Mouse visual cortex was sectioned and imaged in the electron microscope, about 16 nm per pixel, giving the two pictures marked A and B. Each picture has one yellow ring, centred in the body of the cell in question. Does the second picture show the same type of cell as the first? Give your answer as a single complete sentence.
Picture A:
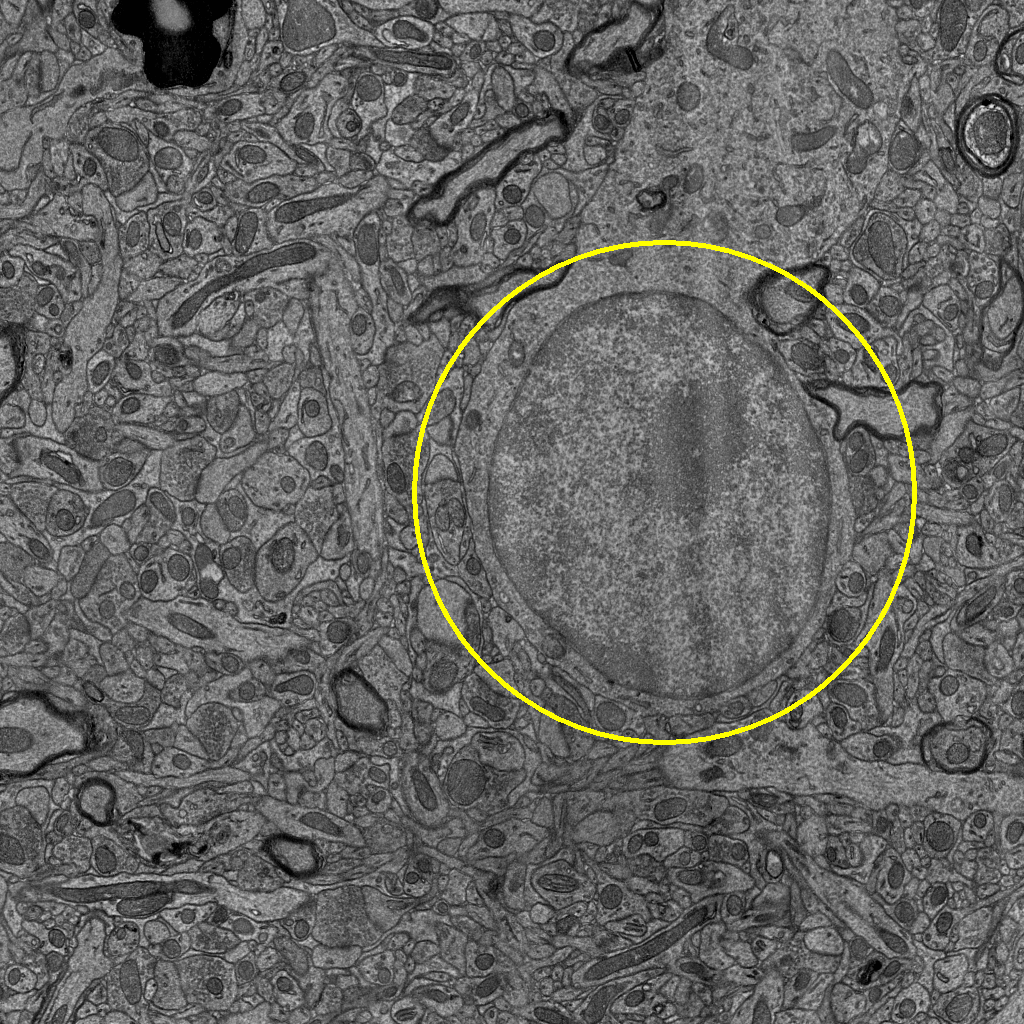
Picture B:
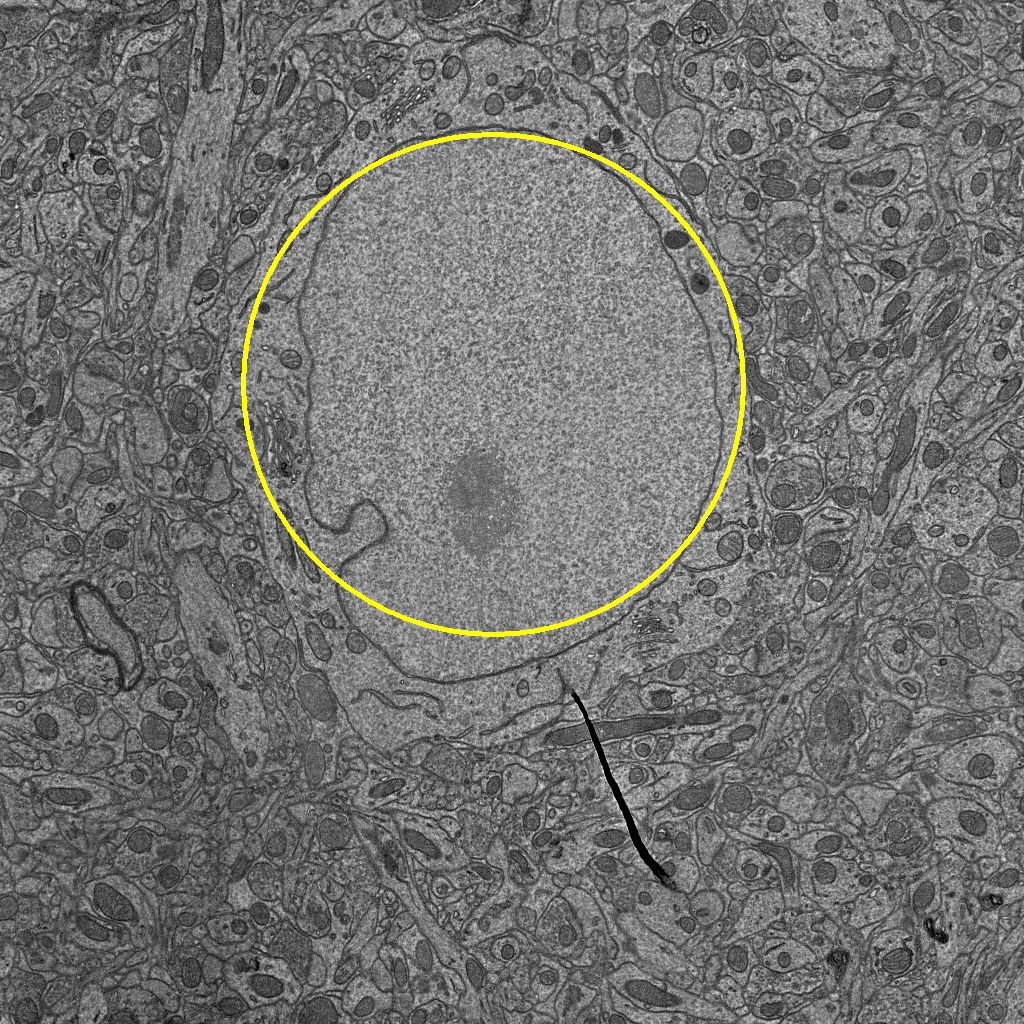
No. Picture A shows an oligodendrocyte, but picture B shows an excitatory neuron.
